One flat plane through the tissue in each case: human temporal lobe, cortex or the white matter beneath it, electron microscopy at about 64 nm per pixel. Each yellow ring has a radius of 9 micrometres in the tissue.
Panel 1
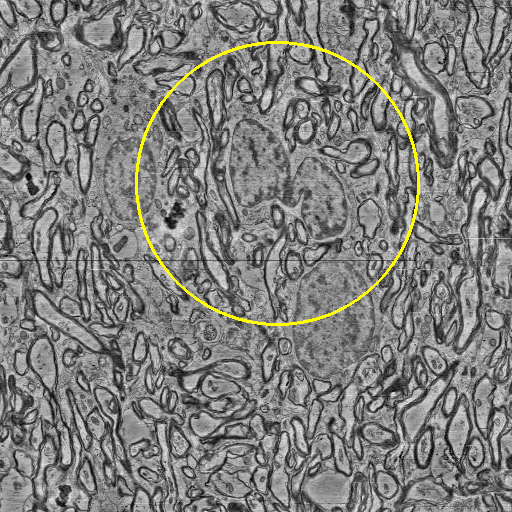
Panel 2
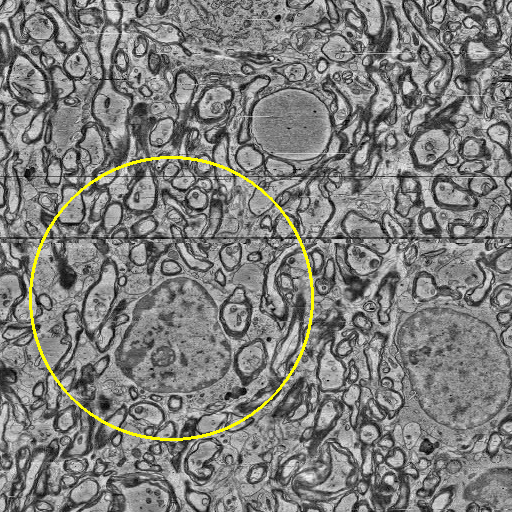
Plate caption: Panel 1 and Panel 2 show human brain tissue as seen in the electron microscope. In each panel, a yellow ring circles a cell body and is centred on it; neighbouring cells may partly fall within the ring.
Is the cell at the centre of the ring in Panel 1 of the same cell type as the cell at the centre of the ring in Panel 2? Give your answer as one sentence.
Yes, the two cells are of the same type.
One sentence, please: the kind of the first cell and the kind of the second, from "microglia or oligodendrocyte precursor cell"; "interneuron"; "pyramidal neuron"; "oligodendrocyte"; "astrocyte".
The first and the second cell are each a microglial cell or oligodendrocyte precursor cell.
